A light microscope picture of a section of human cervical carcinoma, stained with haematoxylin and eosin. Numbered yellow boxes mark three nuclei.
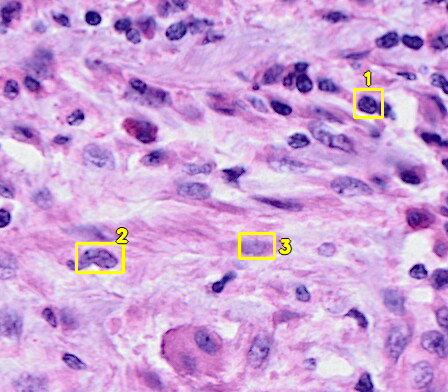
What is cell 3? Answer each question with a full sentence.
Here, the cell given the number 3 is a fibroblast.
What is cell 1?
The cell identified by number 1 is a lymphocyte.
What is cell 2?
The cell to which the number 2 is assigned is a macrophage or monocyte.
